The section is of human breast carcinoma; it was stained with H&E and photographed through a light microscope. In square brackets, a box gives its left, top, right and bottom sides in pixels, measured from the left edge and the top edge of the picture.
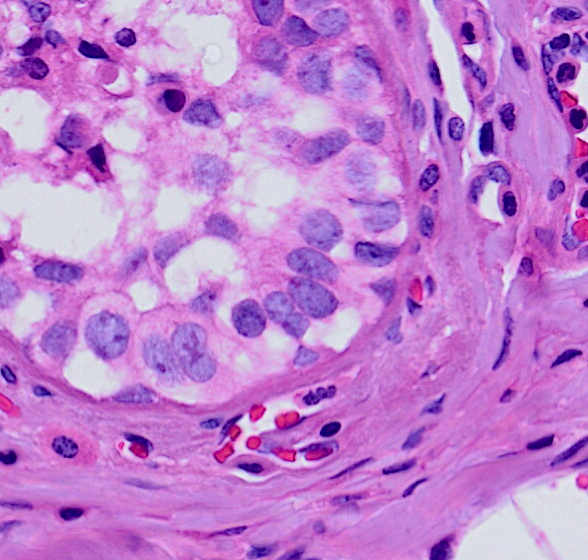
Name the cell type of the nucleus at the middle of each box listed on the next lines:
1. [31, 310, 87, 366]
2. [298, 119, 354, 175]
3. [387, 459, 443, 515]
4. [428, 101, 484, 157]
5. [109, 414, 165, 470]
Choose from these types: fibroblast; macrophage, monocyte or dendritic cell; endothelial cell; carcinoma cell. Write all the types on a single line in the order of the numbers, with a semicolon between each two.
carcinoma cell; carcinoma cell; fibroblast; macrophage, monocyte or dendritic cell; endothelial cell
